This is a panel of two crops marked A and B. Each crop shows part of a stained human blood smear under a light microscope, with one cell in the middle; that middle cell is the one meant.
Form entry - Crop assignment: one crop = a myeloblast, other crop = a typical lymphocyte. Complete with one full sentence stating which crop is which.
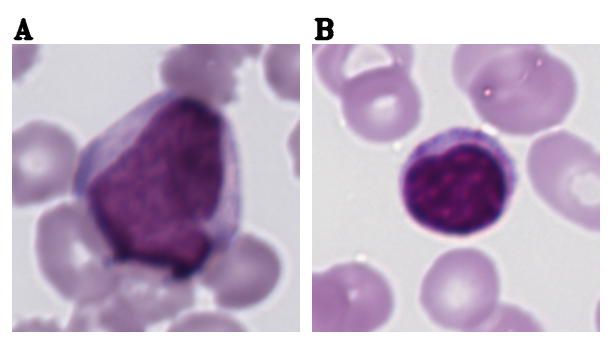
Crop A corresponds to a myeloblast, and crop B corresponds to a typical lymphocyte.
